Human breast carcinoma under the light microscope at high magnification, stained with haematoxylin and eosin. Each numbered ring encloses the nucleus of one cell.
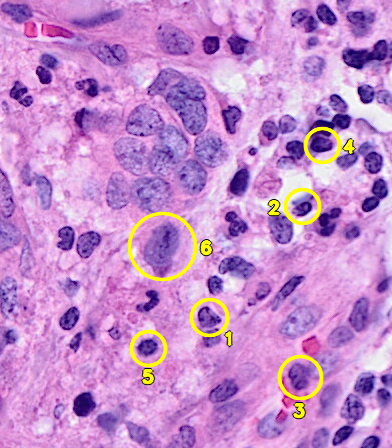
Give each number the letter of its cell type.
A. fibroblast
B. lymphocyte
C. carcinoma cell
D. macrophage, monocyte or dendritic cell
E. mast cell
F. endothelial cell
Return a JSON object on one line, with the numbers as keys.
{"1": "B", "2": "B", "3": "F", "4": "B", "5": "B", "6": "C"}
